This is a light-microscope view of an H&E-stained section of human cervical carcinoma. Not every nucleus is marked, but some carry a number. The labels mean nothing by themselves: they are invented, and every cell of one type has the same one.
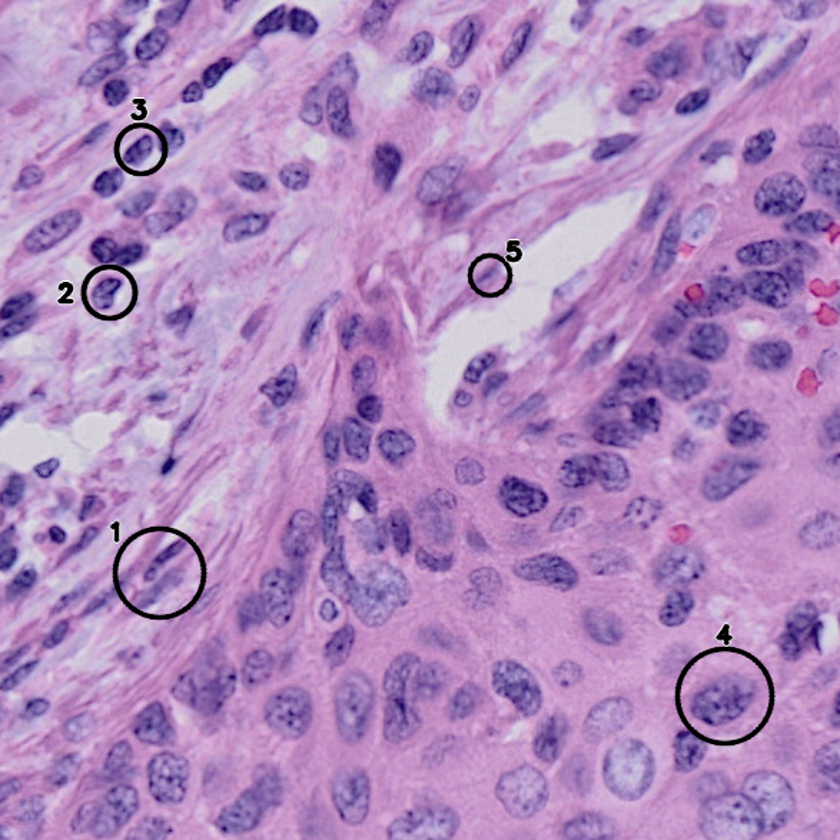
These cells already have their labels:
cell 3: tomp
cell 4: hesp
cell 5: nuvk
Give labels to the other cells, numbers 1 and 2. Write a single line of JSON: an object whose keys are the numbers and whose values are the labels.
{"1": "nuvk", "2": "tomp"}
